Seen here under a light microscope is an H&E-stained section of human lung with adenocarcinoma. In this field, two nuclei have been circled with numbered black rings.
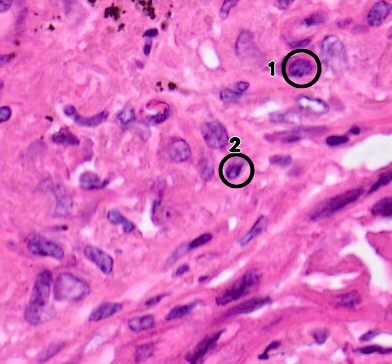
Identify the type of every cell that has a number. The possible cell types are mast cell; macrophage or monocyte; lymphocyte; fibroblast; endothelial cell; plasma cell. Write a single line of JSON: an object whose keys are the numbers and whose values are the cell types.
{"1": "plasma cell", "2": "lymphocyte"}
